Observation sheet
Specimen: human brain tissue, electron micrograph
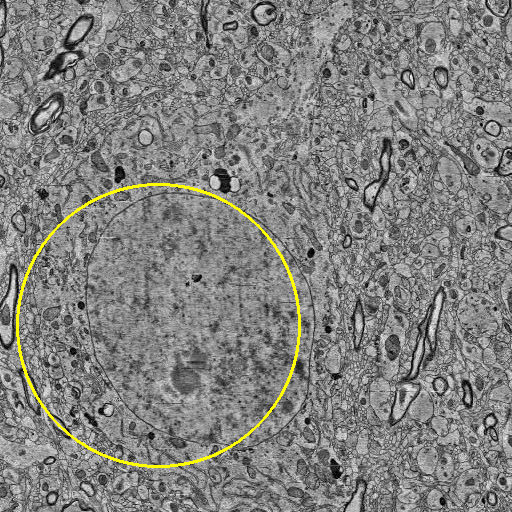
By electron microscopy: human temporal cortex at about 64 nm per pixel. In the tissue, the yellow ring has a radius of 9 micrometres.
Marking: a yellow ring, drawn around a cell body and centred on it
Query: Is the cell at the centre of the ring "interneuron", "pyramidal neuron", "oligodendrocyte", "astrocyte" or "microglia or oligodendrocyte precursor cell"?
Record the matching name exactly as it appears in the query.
pyramidal neuron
